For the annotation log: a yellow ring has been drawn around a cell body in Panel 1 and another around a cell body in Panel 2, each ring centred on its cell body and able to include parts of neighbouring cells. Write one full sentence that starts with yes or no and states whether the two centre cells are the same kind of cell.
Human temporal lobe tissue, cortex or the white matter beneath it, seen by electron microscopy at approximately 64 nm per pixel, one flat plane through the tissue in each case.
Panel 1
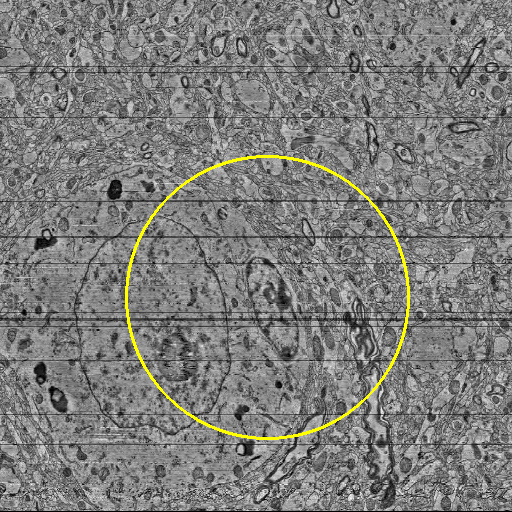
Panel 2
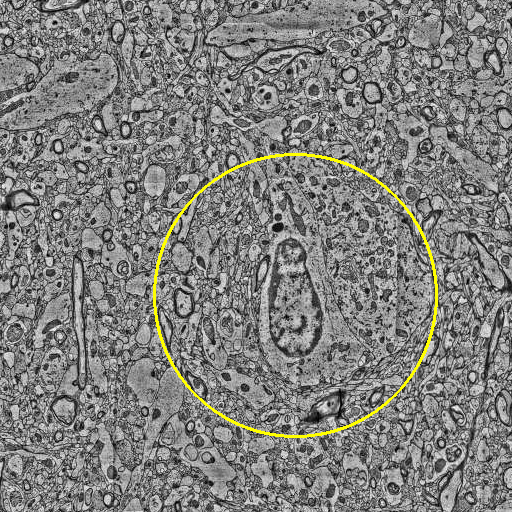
Yes, the two centre cells are the same kind of cell.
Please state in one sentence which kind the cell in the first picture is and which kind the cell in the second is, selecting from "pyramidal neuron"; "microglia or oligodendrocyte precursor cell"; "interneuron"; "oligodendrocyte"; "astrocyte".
Each of the two rings is centred on a microglial cell or oligodendrocyte precursor cell.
